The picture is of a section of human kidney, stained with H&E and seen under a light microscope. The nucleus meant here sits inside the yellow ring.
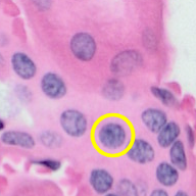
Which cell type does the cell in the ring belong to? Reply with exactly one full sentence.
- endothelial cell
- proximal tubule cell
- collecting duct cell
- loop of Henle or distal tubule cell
The classification of the cell in the ring is as a collecting duct cell.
